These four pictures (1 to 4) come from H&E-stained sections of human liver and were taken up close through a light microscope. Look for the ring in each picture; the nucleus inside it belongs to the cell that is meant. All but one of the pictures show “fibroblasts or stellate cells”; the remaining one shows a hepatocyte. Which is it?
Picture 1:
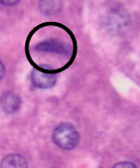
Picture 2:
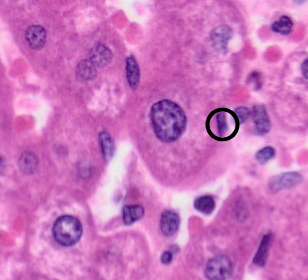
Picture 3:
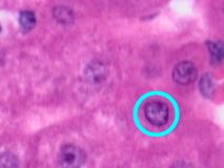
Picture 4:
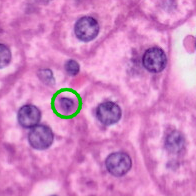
3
